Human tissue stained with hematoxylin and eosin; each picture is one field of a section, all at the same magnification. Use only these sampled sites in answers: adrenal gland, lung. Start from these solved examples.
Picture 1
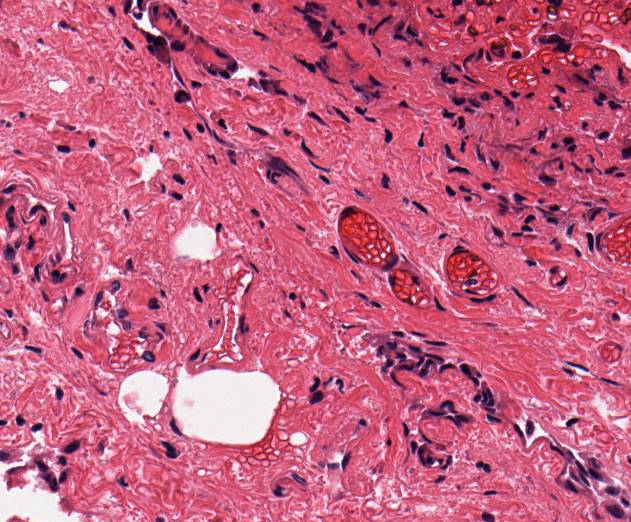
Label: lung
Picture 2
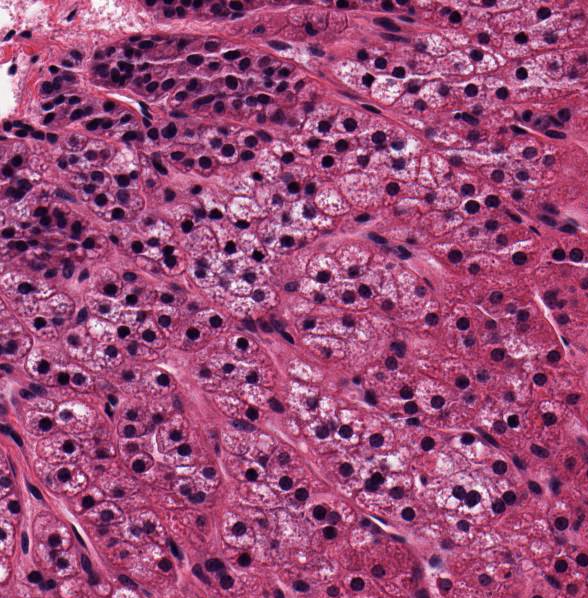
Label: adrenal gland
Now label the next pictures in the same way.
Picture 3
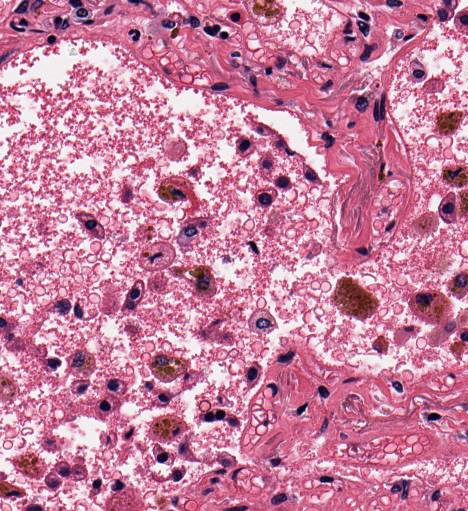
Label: lung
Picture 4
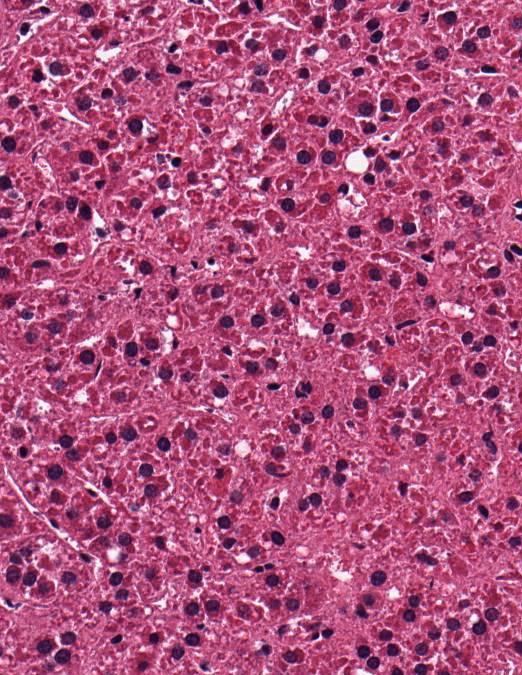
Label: adrenal gland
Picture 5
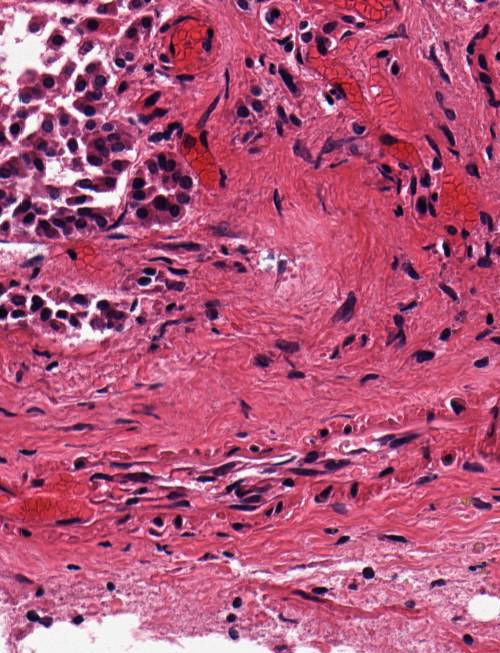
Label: adrenal gland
